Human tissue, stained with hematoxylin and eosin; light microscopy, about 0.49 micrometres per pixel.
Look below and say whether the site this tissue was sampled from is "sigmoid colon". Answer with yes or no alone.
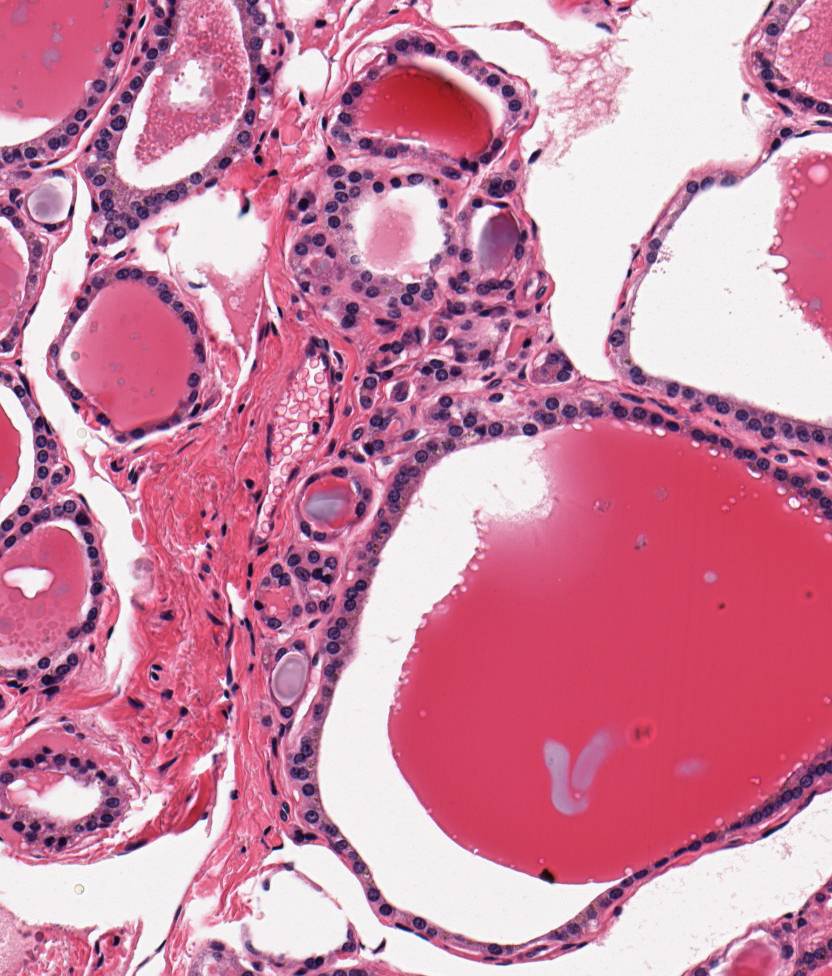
no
